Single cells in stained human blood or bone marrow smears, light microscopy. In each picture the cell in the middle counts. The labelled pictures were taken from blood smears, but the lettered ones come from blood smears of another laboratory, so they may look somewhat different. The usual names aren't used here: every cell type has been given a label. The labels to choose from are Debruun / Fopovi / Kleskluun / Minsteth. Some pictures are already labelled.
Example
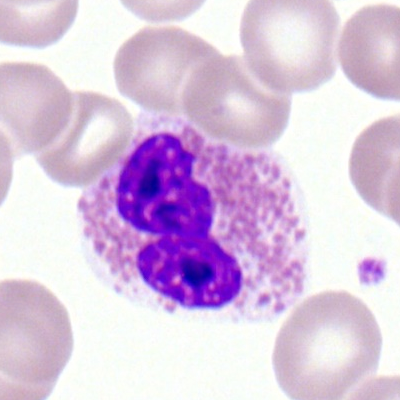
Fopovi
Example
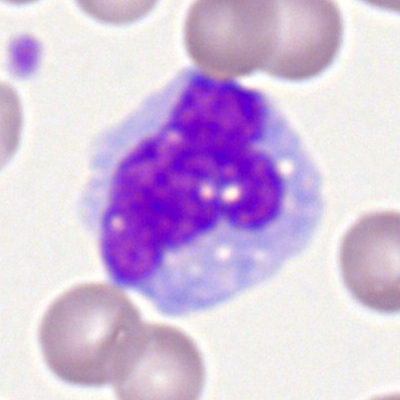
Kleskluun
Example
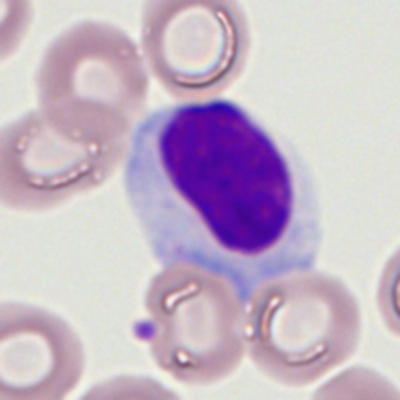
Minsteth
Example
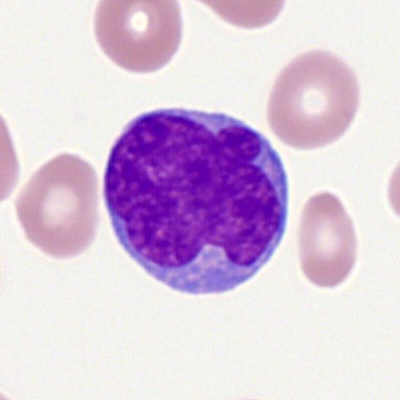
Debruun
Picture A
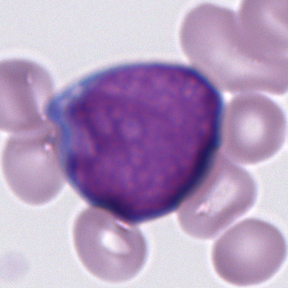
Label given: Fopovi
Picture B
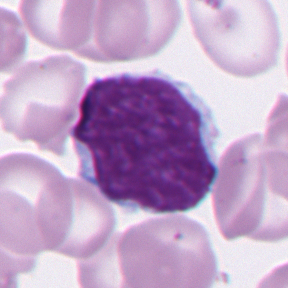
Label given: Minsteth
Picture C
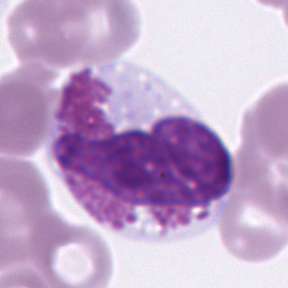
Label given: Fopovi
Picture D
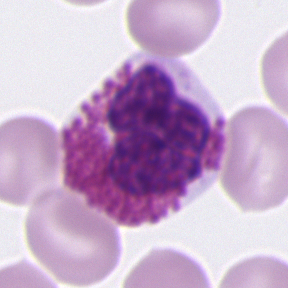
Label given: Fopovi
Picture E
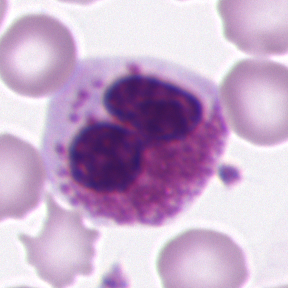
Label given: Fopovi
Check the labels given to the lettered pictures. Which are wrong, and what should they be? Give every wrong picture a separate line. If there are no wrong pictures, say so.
A: change Fopovi to Debruun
